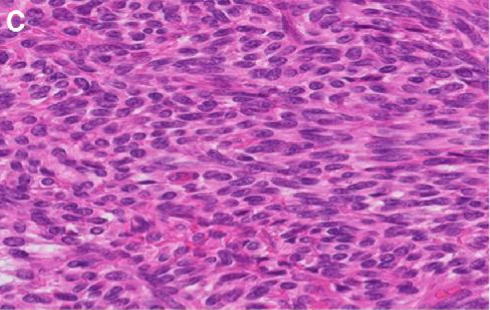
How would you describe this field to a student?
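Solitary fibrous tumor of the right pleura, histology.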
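Nuclei are elongated to oval, purple, with blunt or tapering ends and fine, evenly spread chromatin. They are rather uniform in size and shape, with no striking enlargement or bizarre forms. Cytoplasm is scant, pale pink and drawn out into long, ill-defined processes that merge with faint pink fibres between the cells. Cell borders are indistinct. Some nuclei appear cut across and look rounder where the bundles turn. No necrosis is seen.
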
